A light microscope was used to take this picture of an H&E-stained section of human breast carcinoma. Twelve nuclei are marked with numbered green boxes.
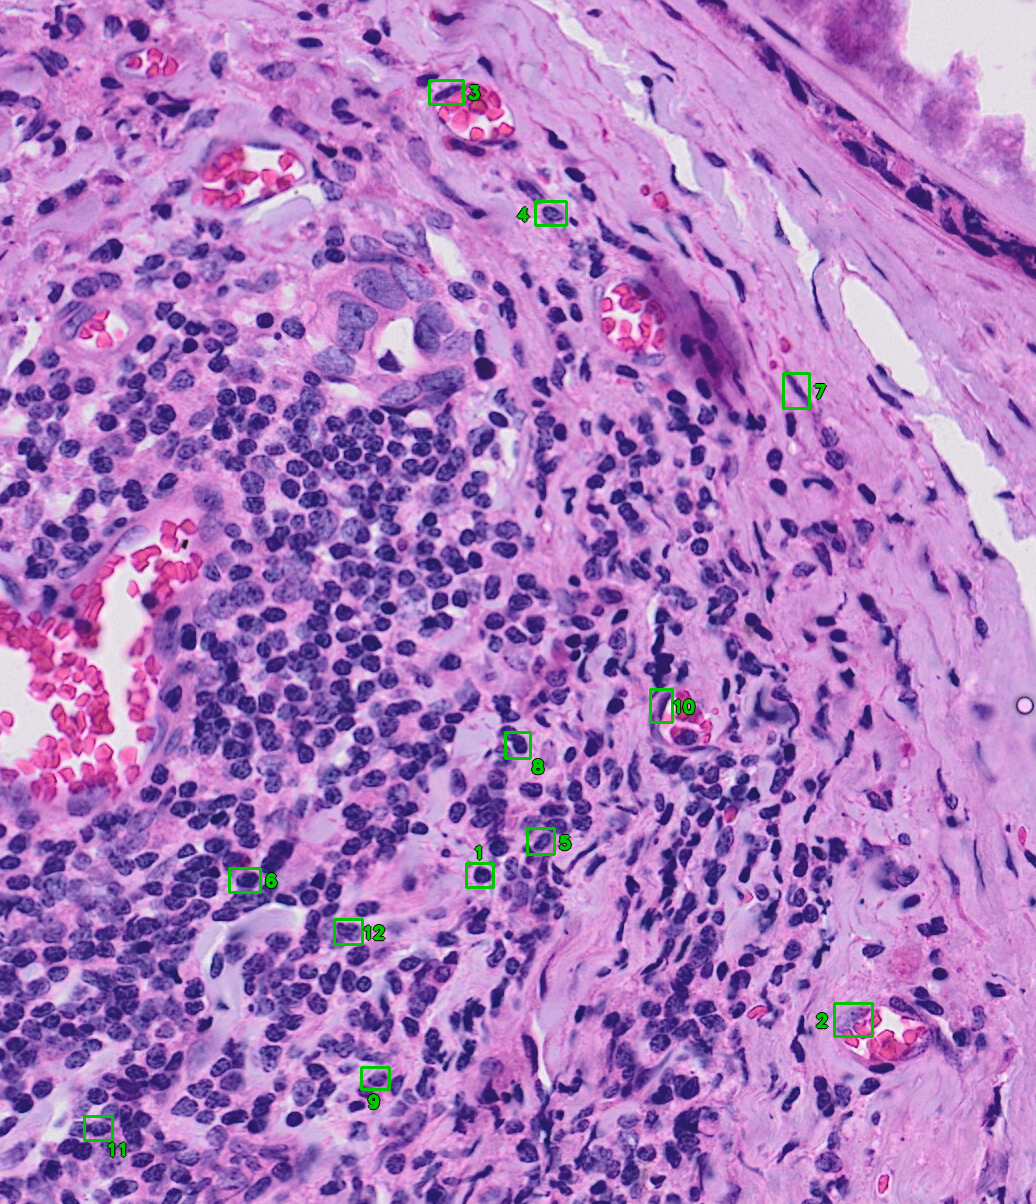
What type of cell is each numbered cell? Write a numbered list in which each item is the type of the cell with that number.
1. lymphocyte
2. endothelial cell
3. endothelial cell
4. mast cell
5. lymphocyte
6. lymphocyte
7. fibroblast
8. lymphocyte
9. lymphocyte
10. endothelial cell
11. lymphocyte
12. lymphocyte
